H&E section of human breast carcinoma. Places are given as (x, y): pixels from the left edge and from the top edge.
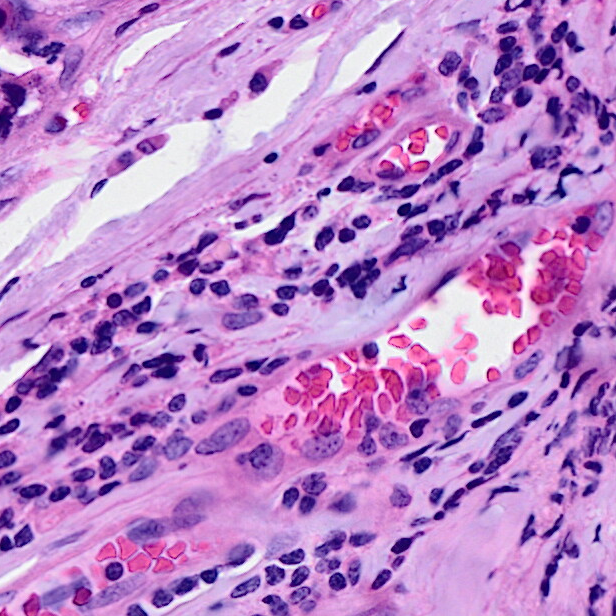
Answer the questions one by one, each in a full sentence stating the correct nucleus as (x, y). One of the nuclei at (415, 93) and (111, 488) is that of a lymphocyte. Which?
Belonging to a lymphocyte is the nucleus at (111, 488).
